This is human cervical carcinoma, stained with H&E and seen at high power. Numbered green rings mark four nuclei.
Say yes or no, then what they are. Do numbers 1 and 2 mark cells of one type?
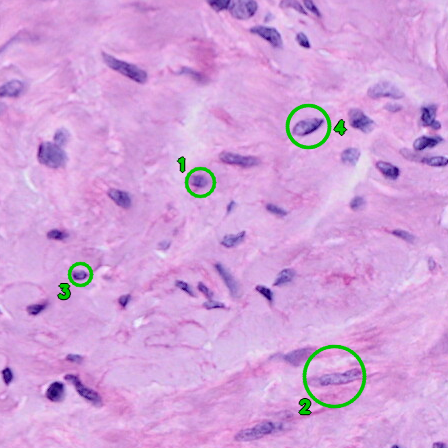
Yes, both are smooth muscle cells.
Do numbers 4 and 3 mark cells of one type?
Yes, both are fibroblasts.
